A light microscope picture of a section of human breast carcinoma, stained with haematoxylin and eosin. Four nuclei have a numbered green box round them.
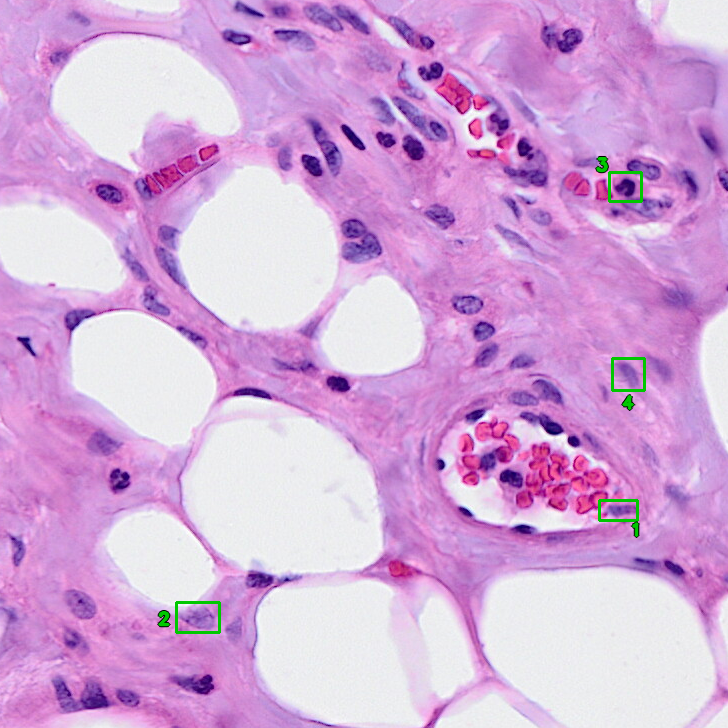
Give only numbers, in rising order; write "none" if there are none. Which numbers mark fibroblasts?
2, 4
